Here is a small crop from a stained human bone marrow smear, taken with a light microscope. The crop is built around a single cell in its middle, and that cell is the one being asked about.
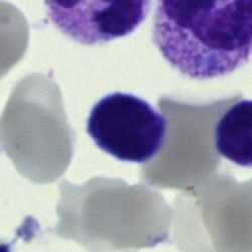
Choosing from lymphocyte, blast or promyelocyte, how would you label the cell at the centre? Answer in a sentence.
The cell of interest, located centrally, is a lymphocyte.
